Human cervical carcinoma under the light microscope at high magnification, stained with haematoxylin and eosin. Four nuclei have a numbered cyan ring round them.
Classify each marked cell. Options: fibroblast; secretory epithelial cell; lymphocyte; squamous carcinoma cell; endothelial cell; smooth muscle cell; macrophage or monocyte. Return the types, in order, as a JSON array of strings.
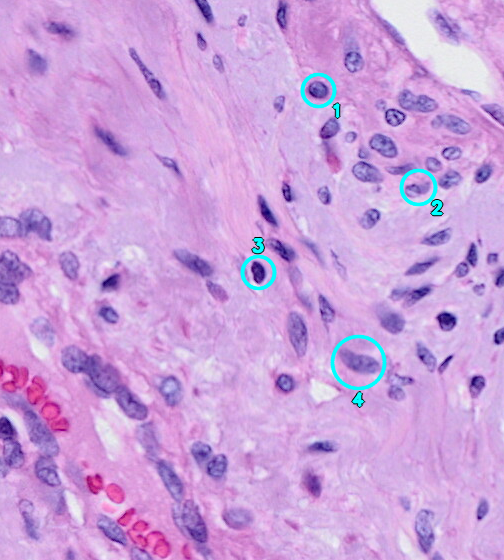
["smooth muscle cell", "smooth muscle cell", "lymphocyte", "fibroblast"]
